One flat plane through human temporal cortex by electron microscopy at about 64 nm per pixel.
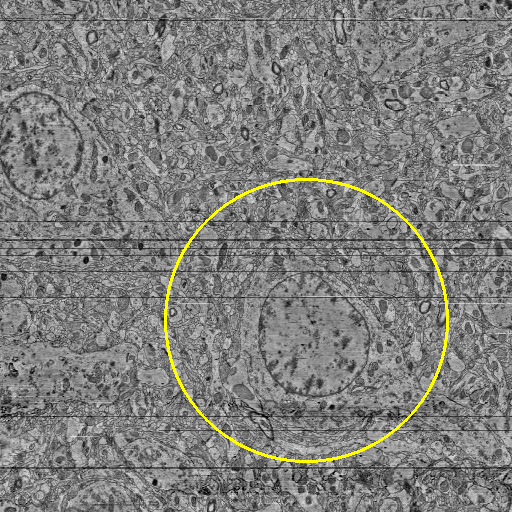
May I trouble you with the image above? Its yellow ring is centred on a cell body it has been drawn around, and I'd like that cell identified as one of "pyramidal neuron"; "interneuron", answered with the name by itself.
pyramidal neuron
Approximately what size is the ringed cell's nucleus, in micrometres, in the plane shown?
In this plane, the nucleus of the cell at the centre of the ring measures about 8 by 7 micrometres.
